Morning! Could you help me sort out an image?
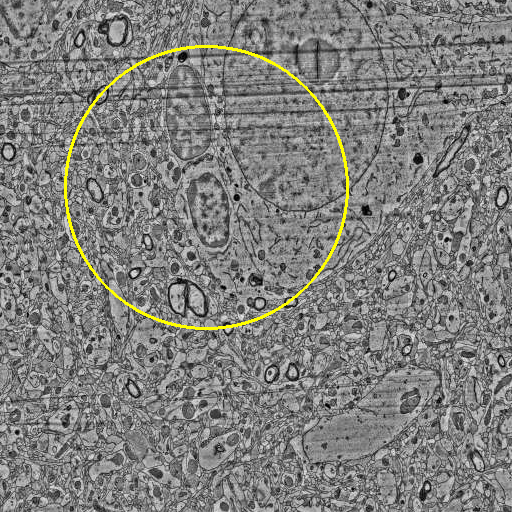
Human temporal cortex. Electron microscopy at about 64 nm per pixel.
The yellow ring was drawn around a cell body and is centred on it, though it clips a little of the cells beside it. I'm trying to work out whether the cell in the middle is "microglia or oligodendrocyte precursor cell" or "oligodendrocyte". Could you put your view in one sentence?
The ringed cell body is that of a microglial cell or oligodendrocyte precursor cell.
